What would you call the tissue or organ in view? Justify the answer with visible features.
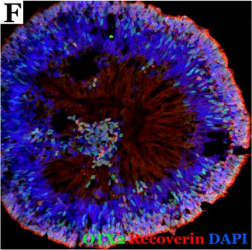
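A round section of layered neural tissue with radially aligned elongated cells. Densely packed nuclei form an outer rim around a central region of radial processes. The answer: retinal organoids.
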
